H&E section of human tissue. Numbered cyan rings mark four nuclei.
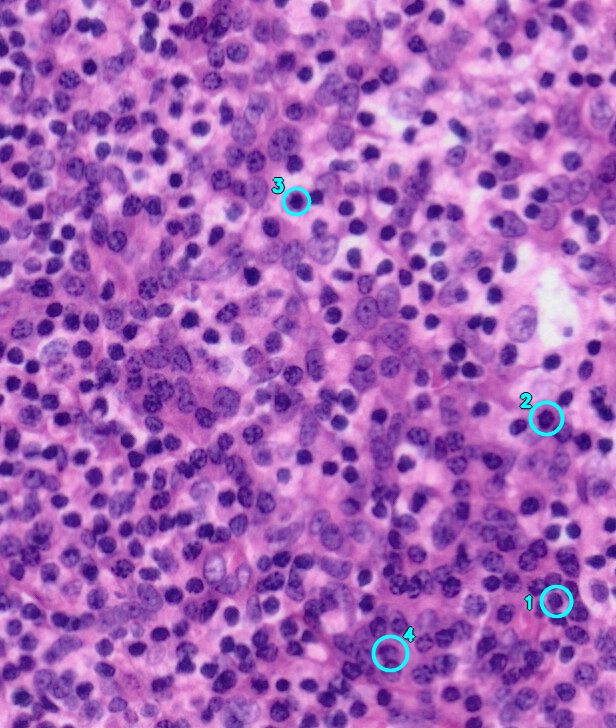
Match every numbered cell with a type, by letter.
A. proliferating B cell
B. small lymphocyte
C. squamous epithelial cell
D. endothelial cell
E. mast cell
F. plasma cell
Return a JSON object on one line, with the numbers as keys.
{"1": "B", "2": "F", "3": "F", "4": "F"}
